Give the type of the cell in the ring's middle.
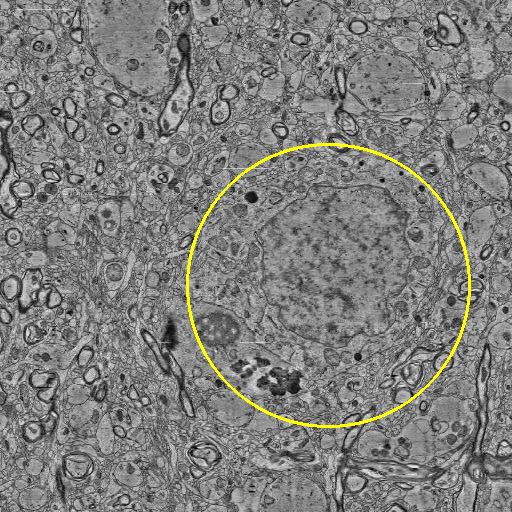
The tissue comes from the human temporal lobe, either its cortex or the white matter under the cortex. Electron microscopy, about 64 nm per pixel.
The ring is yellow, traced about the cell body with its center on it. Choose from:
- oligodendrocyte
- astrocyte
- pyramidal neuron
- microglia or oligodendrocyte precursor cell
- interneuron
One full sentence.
Here, an interneuron is the cell lying at the center of the yellow ring.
